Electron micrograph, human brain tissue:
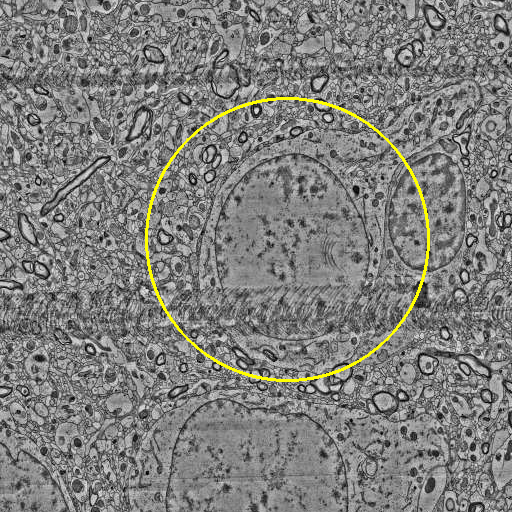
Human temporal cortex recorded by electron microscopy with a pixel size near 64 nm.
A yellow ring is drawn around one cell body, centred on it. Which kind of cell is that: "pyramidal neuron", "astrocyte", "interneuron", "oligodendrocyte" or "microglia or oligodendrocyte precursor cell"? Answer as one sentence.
It is a pyramidal neuron at the centre of the ring.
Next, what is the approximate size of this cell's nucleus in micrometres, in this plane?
In this plane, roughly 11 micrometres across.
